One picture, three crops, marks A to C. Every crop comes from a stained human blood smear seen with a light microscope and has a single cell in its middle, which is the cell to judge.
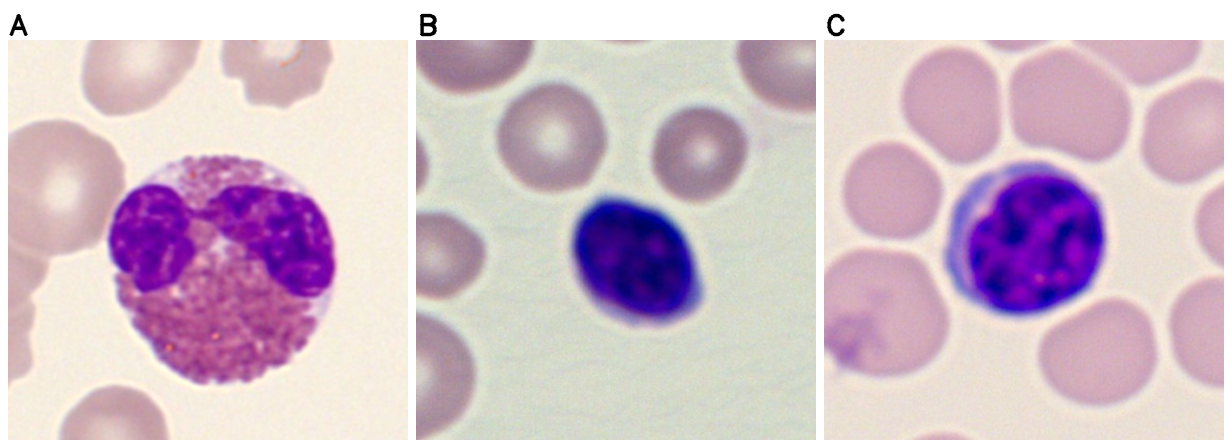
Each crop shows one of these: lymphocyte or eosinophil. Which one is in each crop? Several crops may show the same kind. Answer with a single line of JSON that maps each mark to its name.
{"A": "eosinophil", "B": "lymphocyte", "C": "lymphocyte"}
